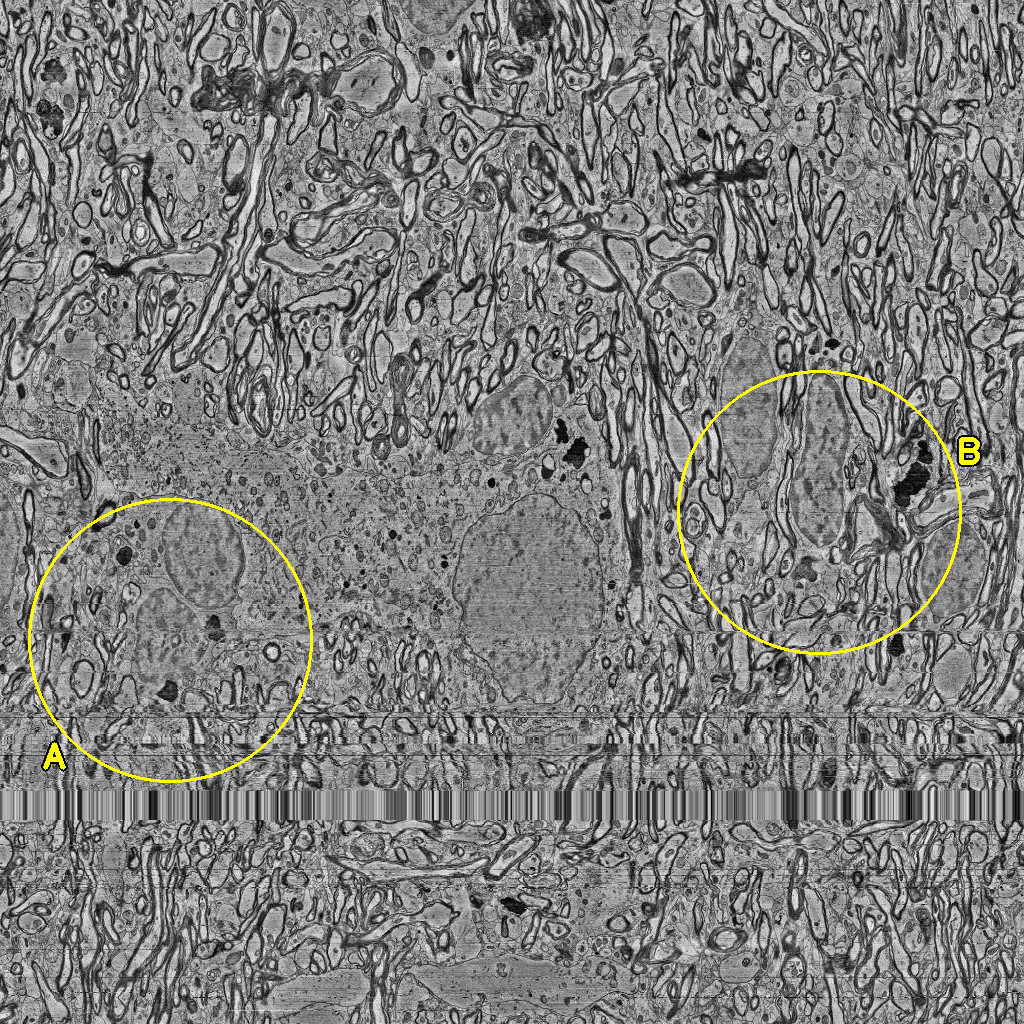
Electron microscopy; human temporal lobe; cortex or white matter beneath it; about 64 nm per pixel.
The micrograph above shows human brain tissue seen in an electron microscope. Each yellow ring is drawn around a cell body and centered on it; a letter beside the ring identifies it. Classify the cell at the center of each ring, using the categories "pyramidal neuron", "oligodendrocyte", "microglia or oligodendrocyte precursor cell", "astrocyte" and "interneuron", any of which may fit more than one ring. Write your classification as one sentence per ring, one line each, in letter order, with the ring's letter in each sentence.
Ring A is centered on an oligodendrocyte.
Ring B is centered on a microglial cell or oligodendrocyte precursor cell.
